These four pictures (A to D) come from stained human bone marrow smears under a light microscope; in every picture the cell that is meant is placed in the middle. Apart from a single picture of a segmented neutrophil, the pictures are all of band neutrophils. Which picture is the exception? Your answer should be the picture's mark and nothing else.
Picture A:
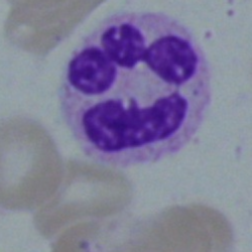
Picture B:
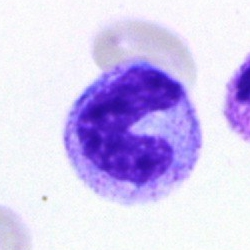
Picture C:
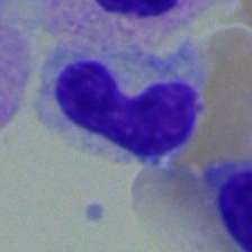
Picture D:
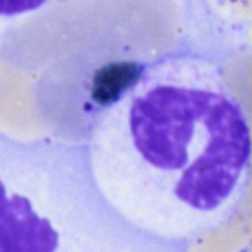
A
